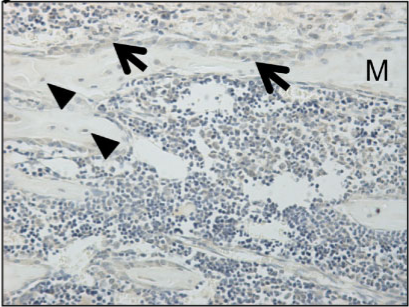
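Osteoblasts form a thin layer along the matrix surfaces, and osteocytes lie singly embedded within the matrix. The cells are stained almost only blue, with little brown in the bone cells or the marrow. The marrow consists of many small round cells with dark blue nuclei.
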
